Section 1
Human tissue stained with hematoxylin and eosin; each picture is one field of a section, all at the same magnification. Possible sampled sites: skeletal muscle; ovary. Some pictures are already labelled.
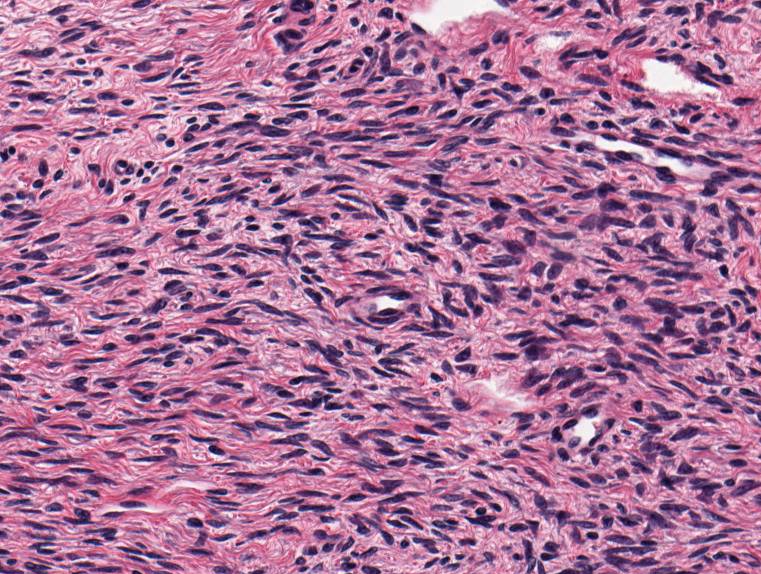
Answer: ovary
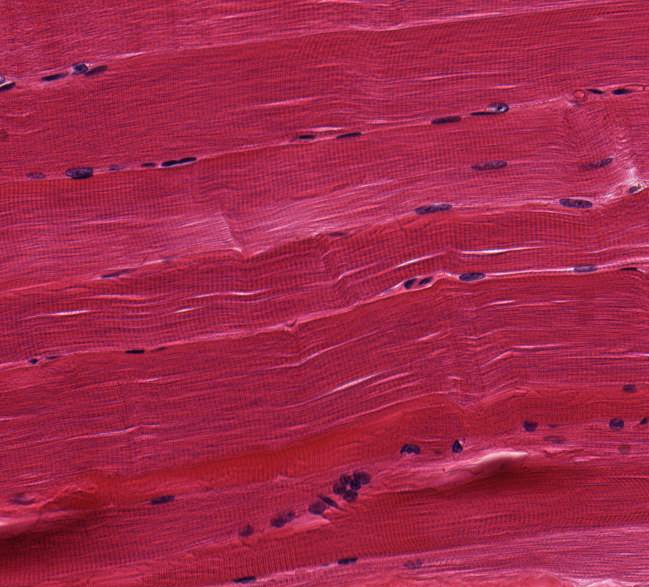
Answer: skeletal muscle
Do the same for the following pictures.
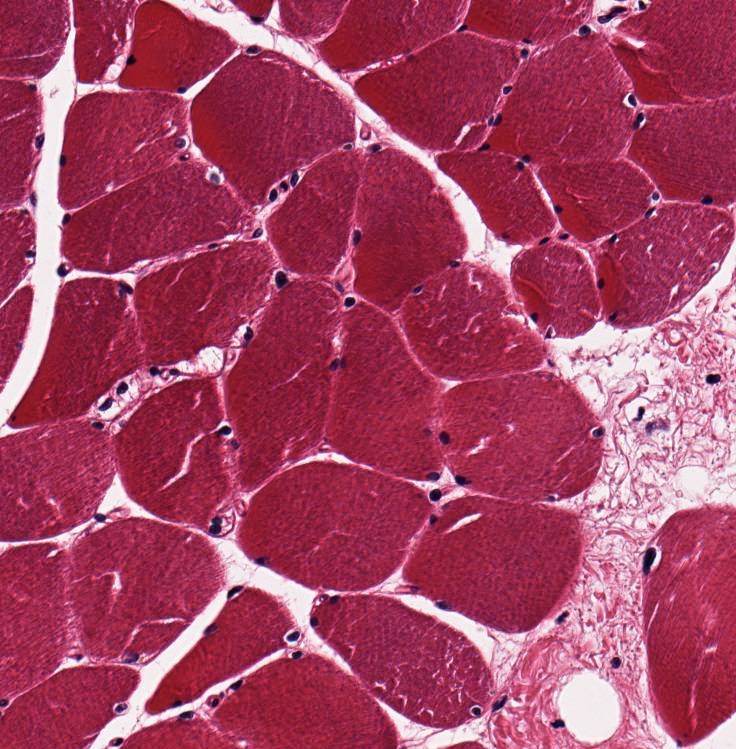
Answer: skeletal muscle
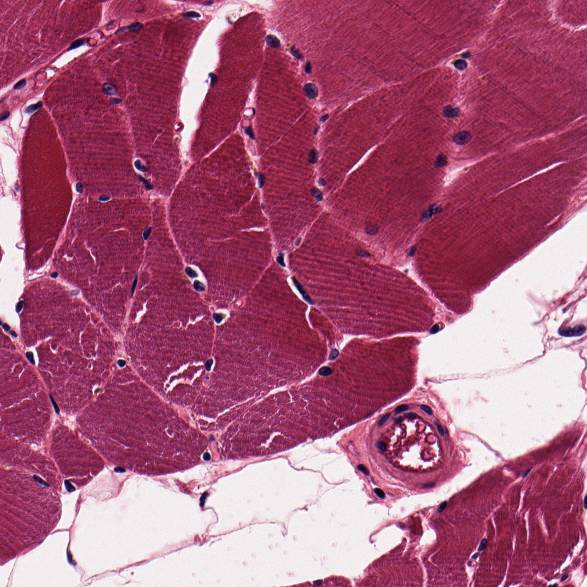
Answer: skeletal muscle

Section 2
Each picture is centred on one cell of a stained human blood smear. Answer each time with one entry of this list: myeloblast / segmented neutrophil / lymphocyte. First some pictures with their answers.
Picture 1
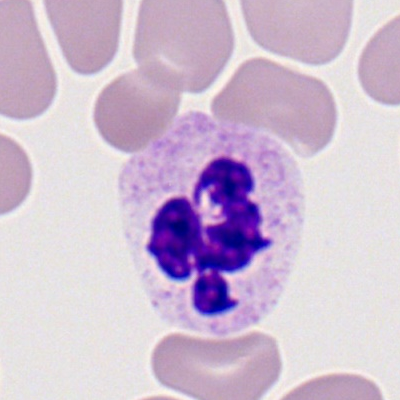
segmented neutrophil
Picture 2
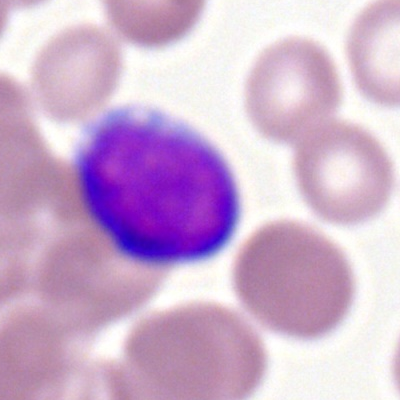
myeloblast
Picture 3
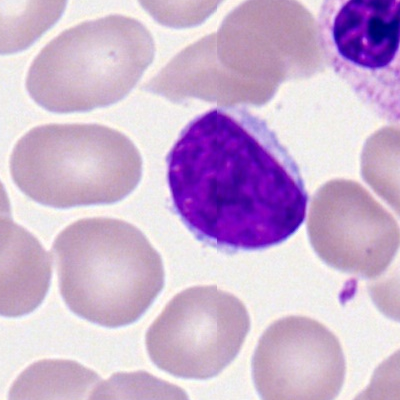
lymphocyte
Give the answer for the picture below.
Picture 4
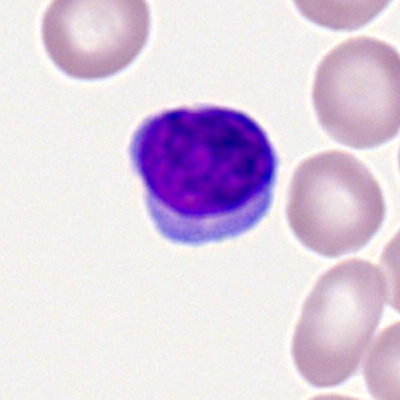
lymphocyte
